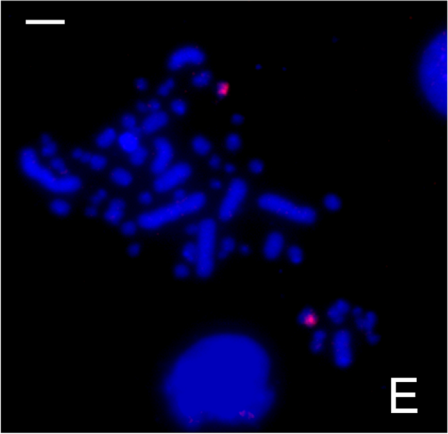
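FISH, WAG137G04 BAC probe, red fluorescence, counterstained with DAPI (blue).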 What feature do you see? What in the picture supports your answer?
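A spread of condensed, separate rod-shaped and dot-like bodies in blue. Sizes range from long rods to tiny dots. Rounded interphase nuclei lie at the edges of the field. That points to this answer: mitotic chromosomes.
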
